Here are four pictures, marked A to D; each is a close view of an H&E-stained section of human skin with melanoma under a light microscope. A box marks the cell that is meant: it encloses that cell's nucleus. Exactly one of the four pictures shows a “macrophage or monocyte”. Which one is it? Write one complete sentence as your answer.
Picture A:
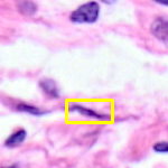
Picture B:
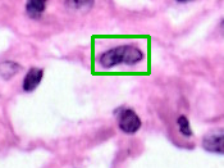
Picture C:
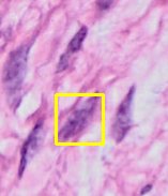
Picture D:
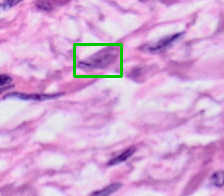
Picture B is the one that shows the “macrophage or monocyte”.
